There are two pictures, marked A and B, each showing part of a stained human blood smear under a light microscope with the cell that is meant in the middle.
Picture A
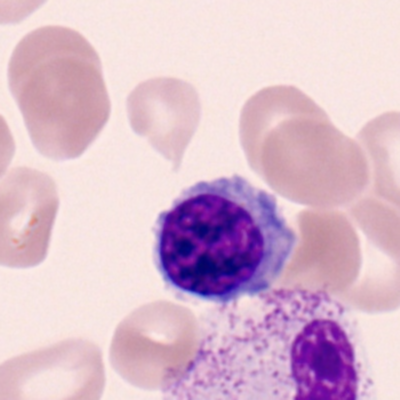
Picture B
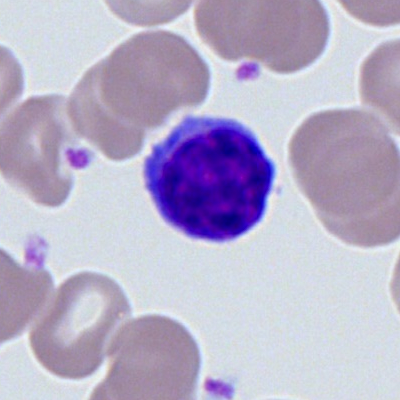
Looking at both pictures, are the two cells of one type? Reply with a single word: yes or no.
yes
